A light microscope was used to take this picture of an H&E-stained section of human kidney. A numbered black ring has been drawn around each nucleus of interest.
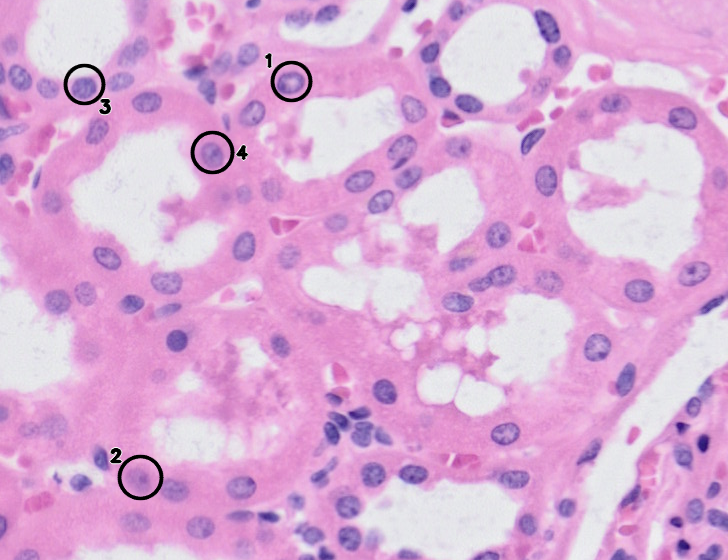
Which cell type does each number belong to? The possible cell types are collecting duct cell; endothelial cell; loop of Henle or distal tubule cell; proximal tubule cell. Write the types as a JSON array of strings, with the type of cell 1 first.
["proximal tubule cell", "proximal tubule cell", "collecting duct cell", "proximal tubule cell"]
